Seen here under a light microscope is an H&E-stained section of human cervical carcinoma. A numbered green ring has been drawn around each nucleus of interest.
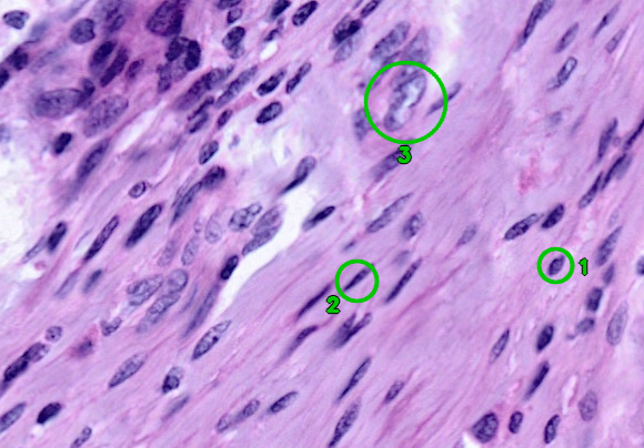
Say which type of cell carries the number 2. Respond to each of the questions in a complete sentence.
Heads up, the cell numbered 2 is a fibroblast.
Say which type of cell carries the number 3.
Regarding cell 3, this one is an endothelial cell.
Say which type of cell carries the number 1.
Looking at the numbered marks, cell 1 is a fibroblast.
